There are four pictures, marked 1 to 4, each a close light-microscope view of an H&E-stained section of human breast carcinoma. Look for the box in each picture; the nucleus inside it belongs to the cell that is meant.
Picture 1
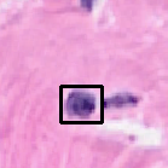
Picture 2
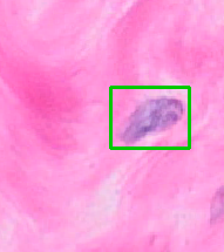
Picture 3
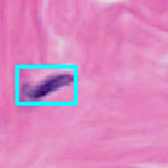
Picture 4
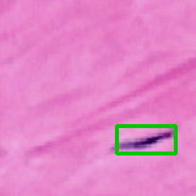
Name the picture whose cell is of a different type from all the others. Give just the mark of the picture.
1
